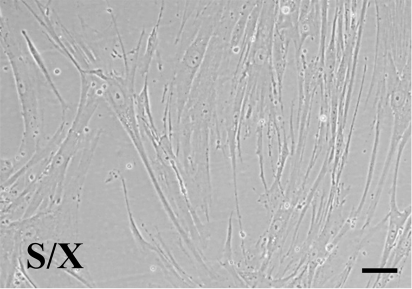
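The cells are long, thin spindles with tapering ends, lying closely side by side in roughly parallel streams across the dish. Their outlines are faint and pale against the grey background, with a few small bright round bodies scattered on top.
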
